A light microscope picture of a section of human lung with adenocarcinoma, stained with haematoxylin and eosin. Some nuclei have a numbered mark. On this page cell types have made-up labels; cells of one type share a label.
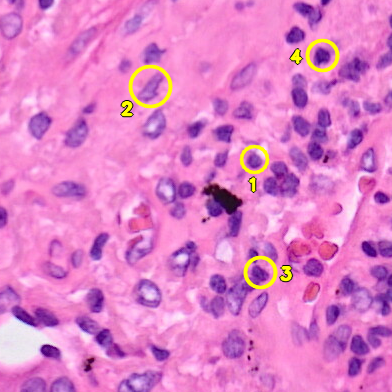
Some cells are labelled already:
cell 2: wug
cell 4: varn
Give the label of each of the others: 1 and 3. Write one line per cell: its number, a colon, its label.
1: varn
3: varn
